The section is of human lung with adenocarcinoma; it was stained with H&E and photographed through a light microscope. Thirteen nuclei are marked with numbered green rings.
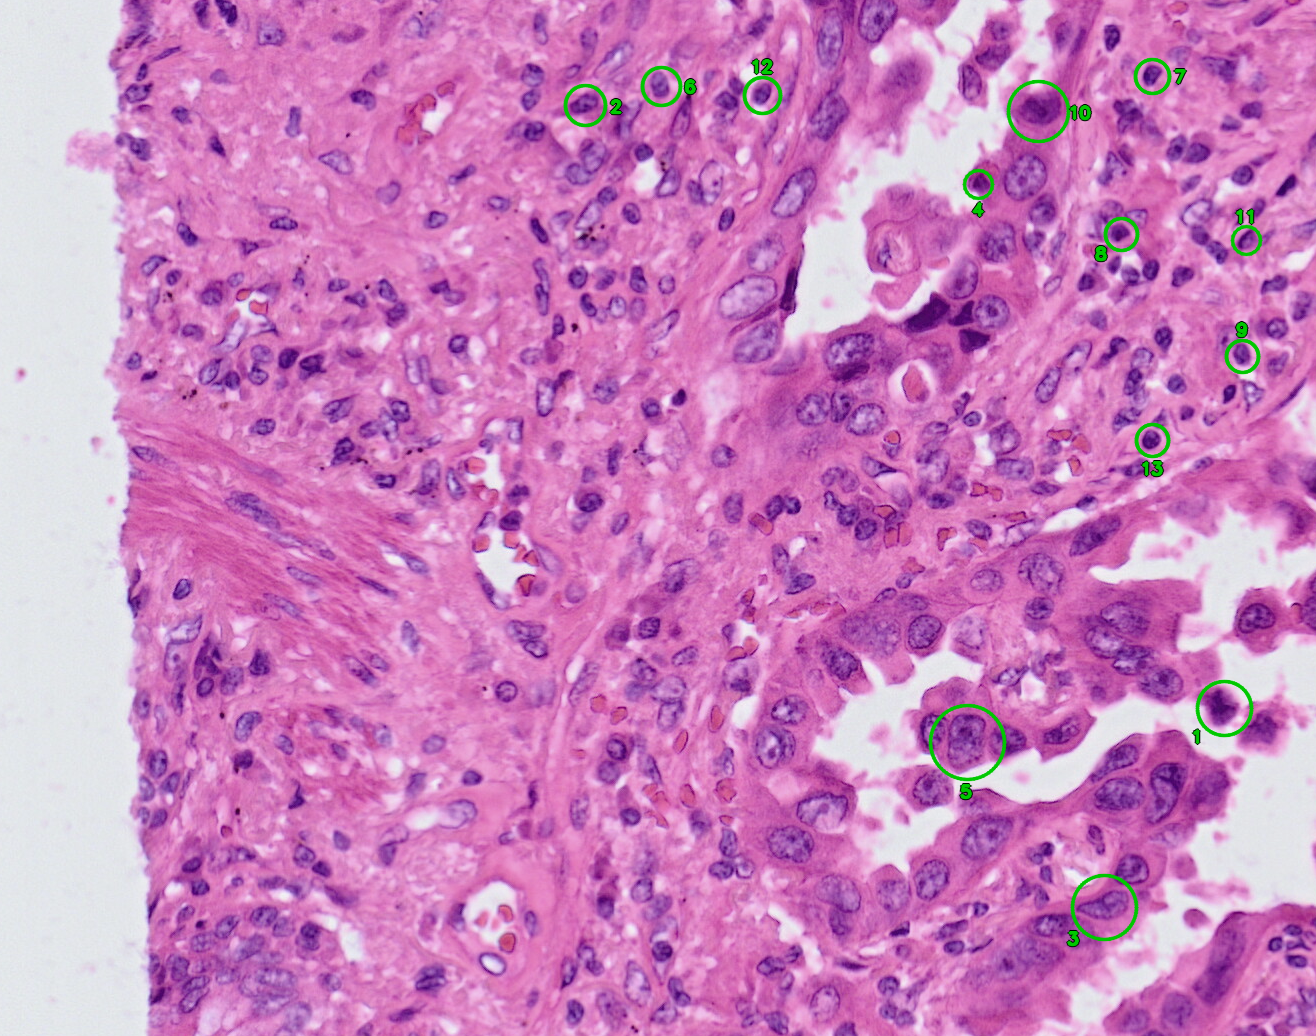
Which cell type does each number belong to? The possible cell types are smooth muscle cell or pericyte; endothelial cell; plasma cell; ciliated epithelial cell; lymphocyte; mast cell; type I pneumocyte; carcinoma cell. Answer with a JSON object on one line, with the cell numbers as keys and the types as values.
{"1": "carcinoma cell", "2": "plasma cell", "3": "carcinoma cell", "4": "carcinoma cell", "5": "carcinoma cell", "6": "lymphocyte", "7": "lymphocyte", "8": "lymphocyte", "9": "lymphocyte", "10": "carcinoma cell", "11": "plasma cell", "12": "lymphocyte", "13": "lymphocyte"}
